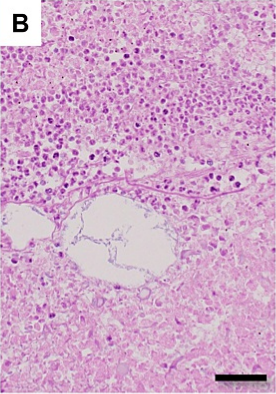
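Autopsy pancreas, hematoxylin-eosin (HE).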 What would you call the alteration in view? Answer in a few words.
Extensive necrosis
